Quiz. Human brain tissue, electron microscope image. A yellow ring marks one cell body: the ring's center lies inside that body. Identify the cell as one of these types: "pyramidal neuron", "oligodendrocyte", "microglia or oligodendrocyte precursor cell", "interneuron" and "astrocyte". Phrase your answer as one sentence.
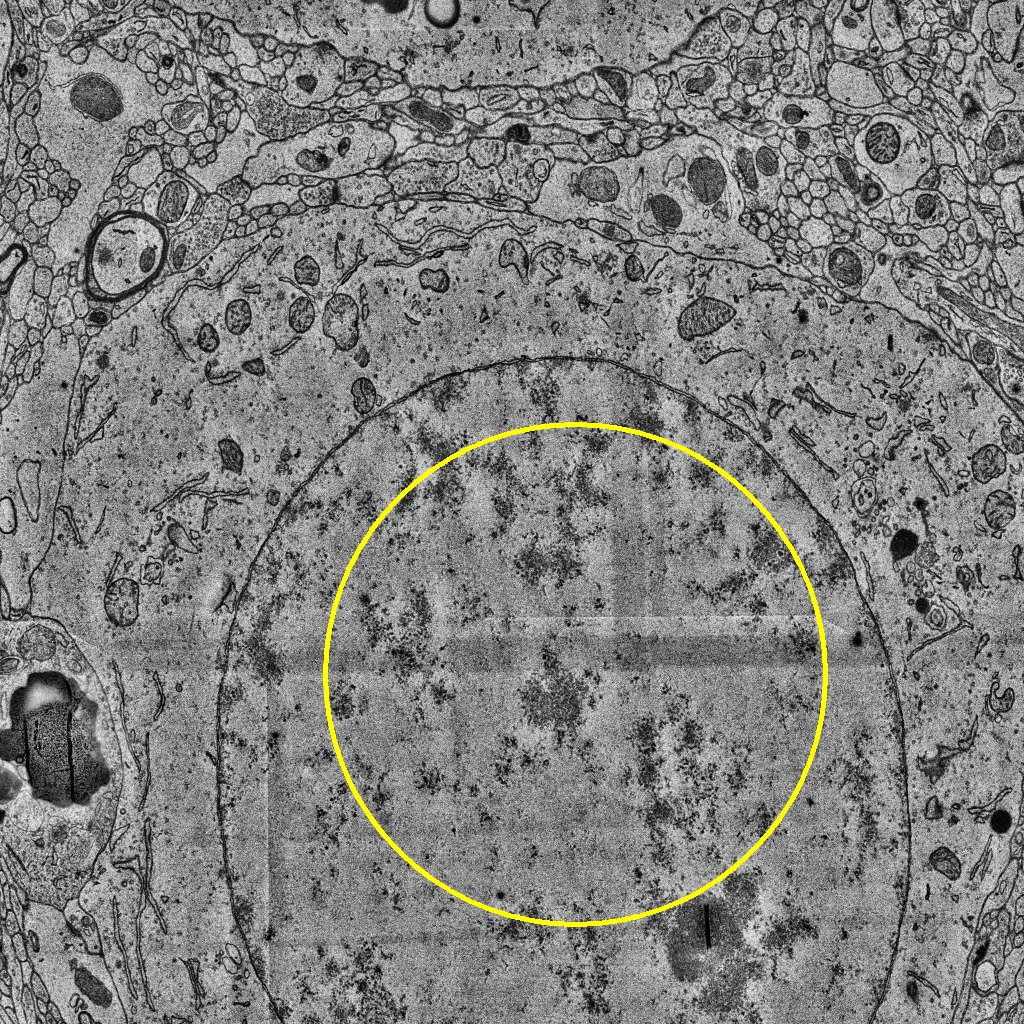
At the center of the ring sits a pyramidal neuron.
